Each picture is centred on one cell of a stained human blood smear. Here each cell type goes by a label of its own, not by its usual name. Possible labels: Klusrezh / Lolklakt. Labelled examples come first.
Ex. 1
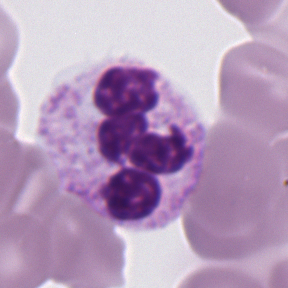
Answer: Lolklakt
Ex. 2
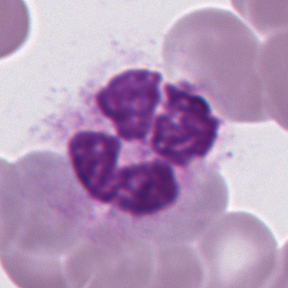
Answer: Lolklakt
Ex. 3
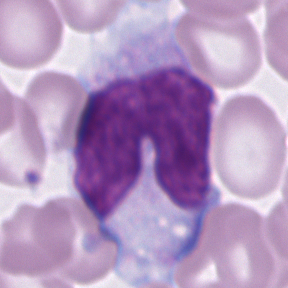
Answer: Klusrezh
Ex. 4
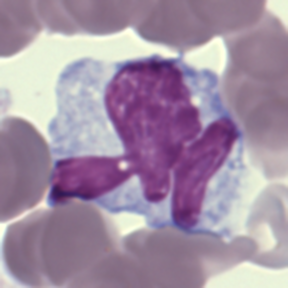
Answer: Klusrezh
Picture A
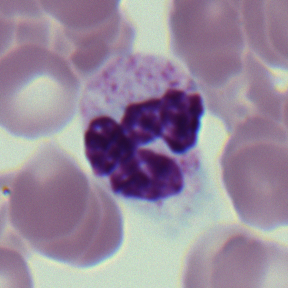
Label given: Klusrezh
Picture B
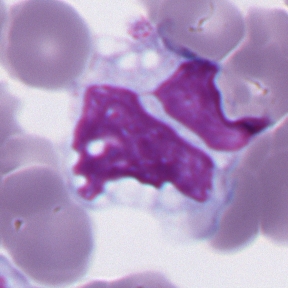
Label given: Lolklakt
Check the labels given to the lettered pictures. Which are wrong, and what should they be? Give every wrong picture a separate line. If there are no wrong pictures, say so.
A is labelled Klusrezh; correct label: Lolklakt
B is labelled Lolklakt; correct label: Klusrezh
